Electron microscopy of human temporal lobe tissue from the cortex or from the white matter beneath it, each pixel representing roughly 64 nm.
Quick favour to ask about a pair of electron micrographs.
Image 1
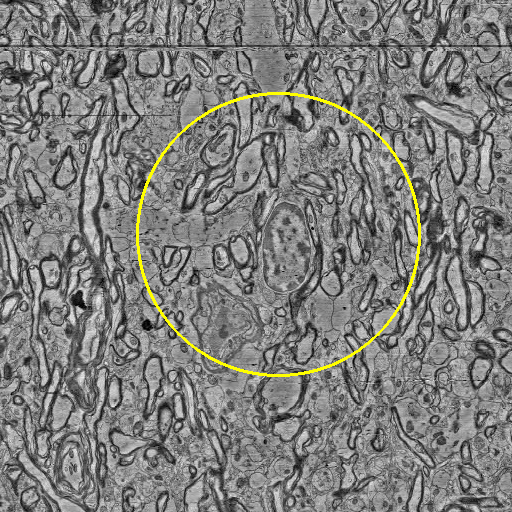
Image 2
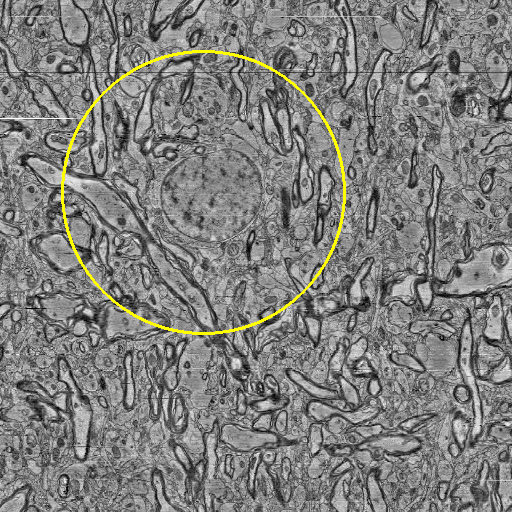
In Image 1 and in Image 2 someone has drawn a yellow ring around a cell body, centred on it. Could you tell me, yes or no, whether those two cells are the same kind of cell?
yes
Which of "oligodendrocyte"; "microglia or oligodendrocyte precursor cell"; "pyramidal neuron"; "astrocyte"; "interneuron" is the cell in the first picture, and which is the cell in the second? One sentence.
The first and the second cell are each a microglial cell or oligodendrocyte precursor cell.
